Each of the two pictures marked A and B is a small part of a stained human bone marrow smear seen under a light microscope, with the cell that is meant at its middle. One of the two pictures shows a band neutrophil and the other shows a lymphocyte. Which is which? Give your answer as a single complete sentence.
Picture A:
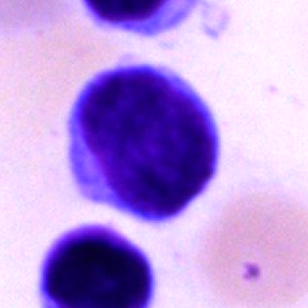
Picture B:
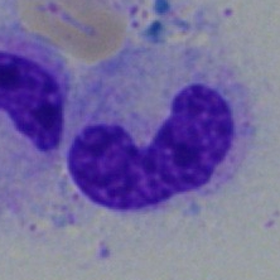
It is picture A that shows a lymphocyte, and picture B that shows a band neutrophil.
